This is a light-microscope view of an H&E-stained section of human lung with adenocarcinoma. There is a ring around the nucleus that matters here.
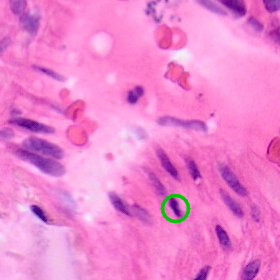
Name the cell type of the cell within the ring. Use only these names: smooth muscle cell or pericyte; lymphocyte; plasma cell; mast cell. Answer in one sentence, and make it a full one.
In short, the cell within the ring on this section is a smooth muscle cell or pericyte.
